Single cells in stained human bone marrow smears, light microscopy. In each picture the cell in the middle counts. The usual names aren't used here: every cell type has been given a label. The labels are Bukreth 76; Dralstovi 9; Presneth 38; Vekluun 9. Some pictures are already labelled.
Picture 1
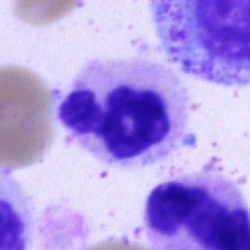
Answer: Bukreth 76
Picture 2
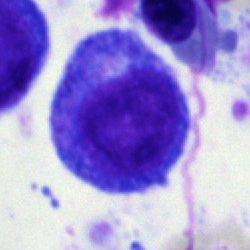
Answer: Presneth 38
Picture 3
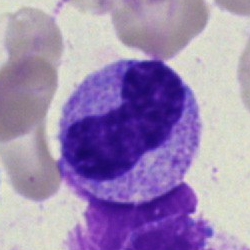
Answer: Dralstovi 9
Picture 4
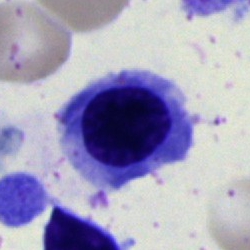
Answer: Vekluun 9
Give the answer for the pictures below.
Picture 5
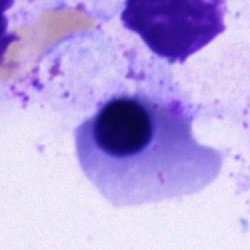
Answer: Vekluun 9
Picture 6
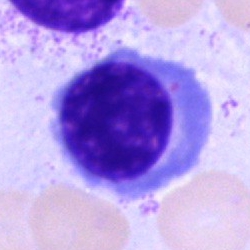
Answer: Vekluun 9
